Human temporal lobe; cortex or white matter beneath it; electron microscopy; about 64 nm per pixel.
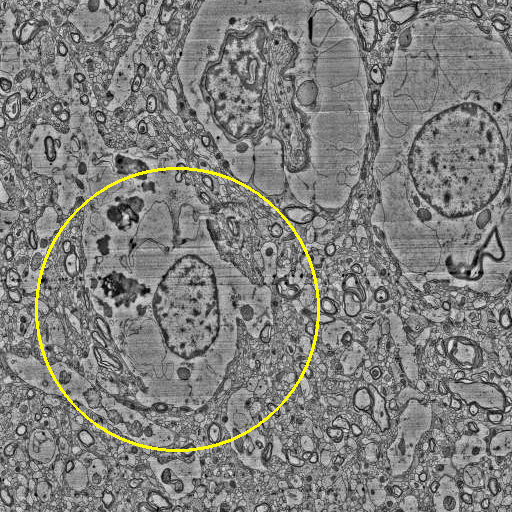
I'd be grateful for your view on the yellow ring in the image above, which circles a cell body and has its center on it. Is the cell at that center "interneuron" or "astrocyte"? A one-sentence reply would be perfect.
The cell at the center of the yellow ring is an astrocyte.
